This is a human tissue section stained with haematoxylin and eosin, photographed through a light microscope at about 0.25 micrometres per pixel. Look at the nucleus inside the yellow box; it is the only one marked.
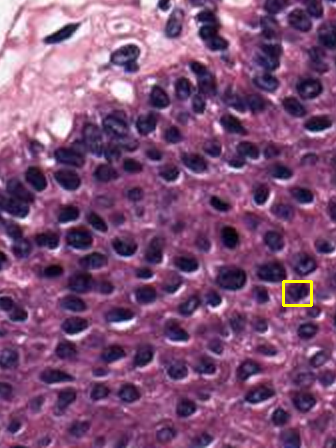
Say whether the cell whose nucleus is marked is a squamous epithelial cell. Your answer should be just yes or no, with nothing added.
yes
